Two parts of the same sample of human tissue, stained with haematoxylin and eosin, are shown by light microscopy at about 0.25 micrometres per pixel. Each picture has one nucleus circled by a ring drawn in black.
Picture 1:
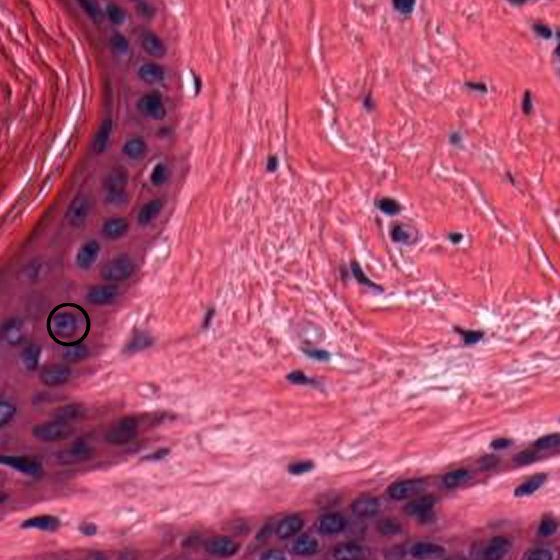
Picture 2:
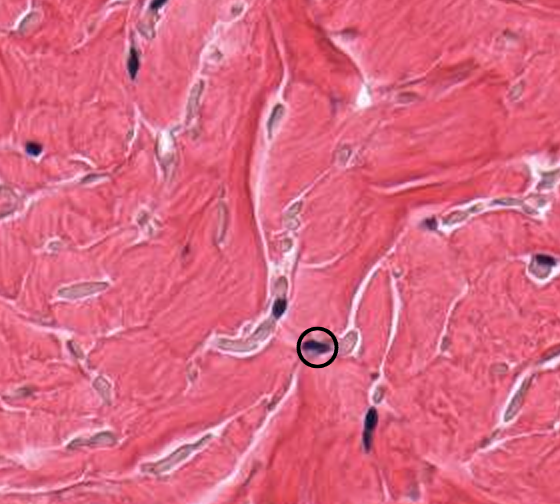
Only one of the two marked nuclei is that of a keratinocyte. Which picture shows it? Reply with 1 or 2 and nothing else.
1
